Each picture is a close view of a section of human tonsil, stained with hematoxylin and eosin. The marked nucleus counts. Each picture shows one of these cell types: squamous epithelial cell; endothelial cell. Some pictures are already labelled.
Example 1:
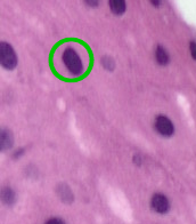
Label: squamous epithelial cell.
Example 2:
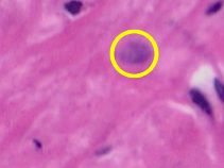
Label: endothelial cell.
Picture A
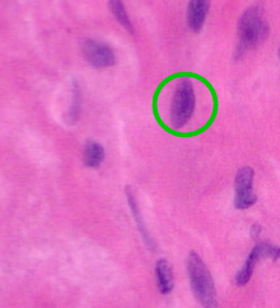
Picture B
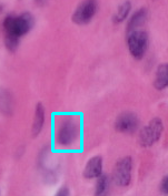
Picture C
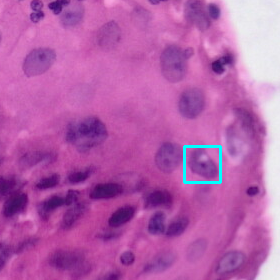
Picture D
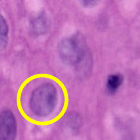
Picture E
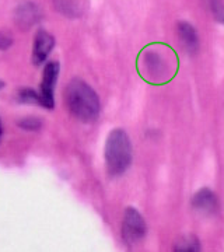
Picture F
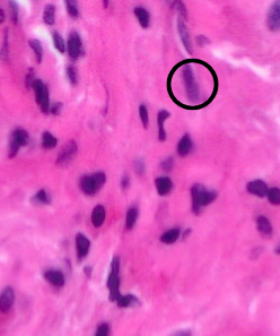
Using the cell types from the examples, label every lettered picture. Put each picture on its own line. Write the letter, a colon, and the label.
A: endothelial cell.
B: endothelial cell.
C: squamous epithelial cell.
D: squamous epithelial cell.
E: squamous epithelial cell.
F: endothelial cell.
